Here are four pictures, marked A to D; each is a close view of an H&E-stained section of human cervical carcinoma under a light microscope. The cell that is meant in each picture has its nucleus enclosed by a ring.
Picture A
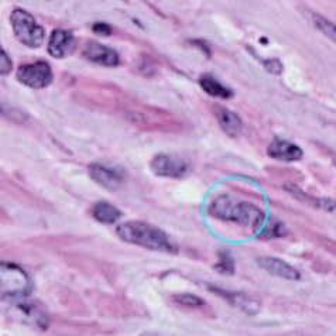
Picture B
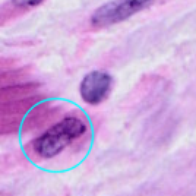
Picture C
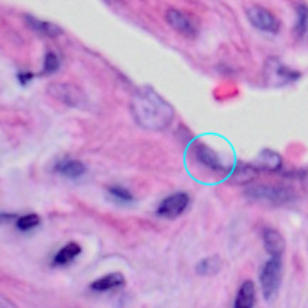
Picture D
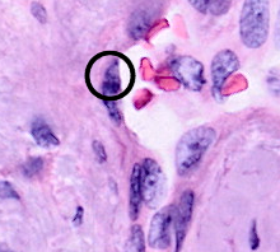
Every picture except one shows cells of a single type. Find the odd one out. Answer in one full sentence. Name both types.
The others show endothelial cells, but picture B shows a “macrophage or monocyte”.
